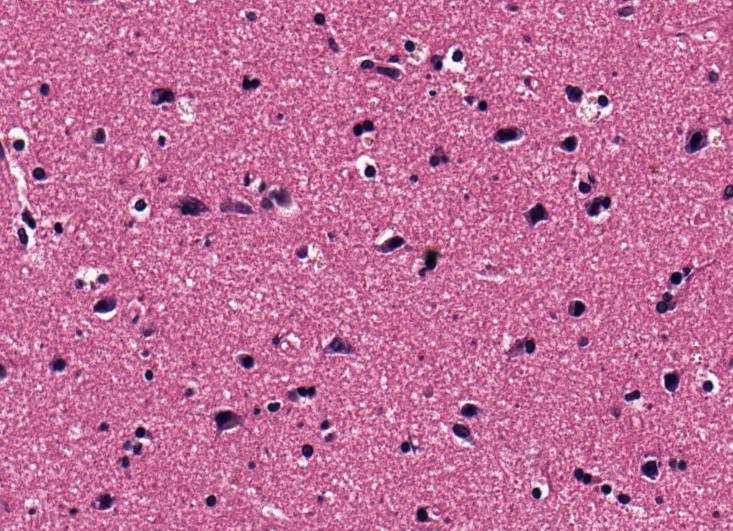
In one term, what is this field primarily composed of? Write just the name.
cerebral cortex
